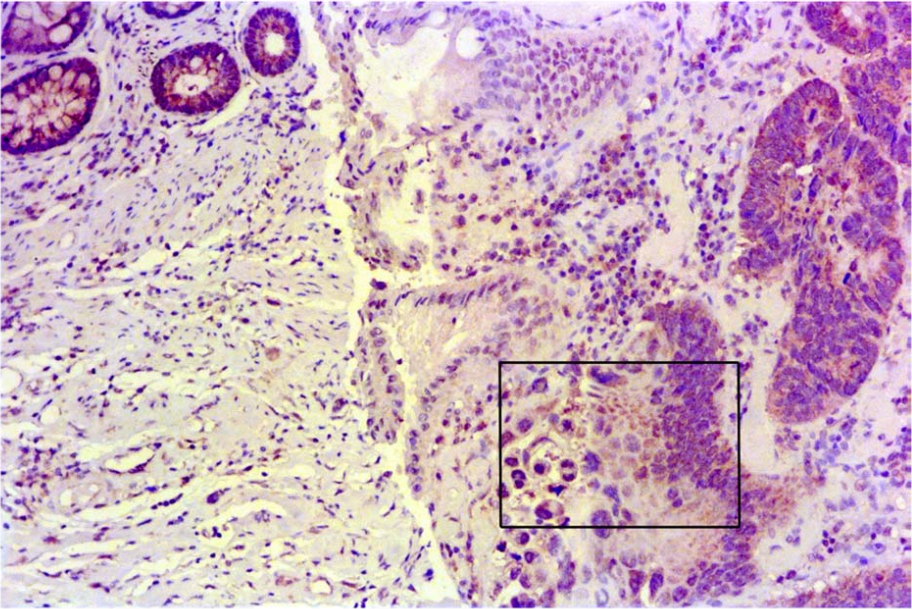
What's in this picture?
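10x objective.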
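This low-power view of colorectal carcinoma shows, at top left, a few regular round crypts with goblet cells, set in fibrous stroma with spindle-shaped cells. Toward the right lie irregular malignant glands lined by tall cells with crowded, stacked, elongated nuclei, their cytoplasm tinged brown. Between them the stroma holds many small, round, dark inflammatory cells, many of which also show brownish cytoplasm. A pale, cleft-like gap runs vertically through the middle of the field, separating the looser stroma on the left from the tumor-rich area on the right.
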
